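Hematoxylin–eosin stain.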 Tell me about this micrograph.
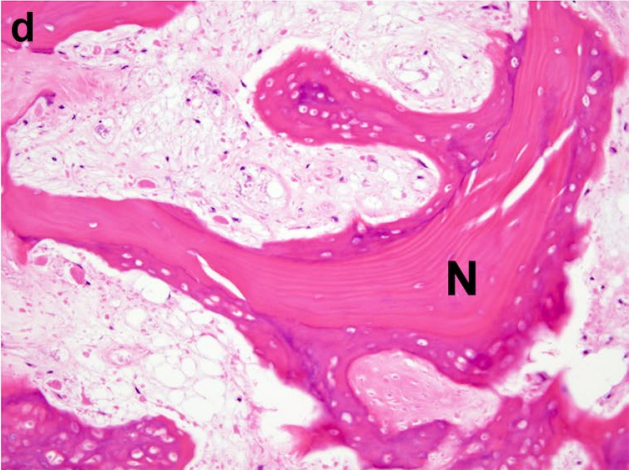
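This shows bone trabeculae with a broad central core of pink lamellar bone whose lacunae look largely empty, coated along the surfaces by a rim of more cellular newly laid bone. The spaces between the trabeculae are filled with pale, loose fibrous connective tissue containing sparse small nuclei and some vacuoles. No normal marrow with packed blood-forming cells is seen between the trabeculae.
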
